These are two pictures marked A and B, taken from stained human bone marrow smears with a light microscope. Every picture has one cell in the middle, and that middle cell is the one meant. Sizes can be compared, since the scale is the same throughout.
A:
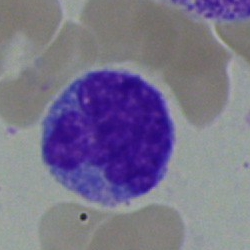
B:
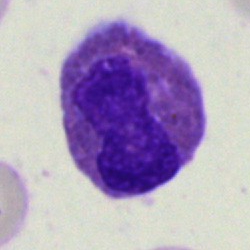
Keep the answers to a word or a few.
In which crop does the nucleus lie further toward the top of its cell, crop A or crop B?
A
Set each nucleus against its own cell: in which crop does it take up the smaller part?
B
